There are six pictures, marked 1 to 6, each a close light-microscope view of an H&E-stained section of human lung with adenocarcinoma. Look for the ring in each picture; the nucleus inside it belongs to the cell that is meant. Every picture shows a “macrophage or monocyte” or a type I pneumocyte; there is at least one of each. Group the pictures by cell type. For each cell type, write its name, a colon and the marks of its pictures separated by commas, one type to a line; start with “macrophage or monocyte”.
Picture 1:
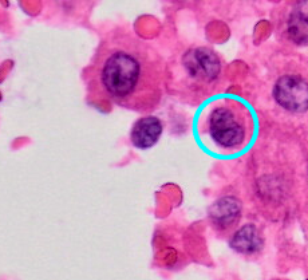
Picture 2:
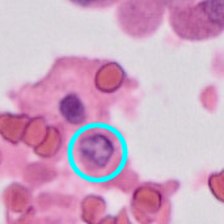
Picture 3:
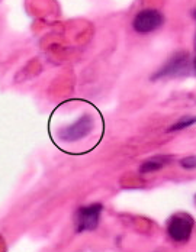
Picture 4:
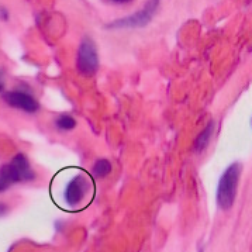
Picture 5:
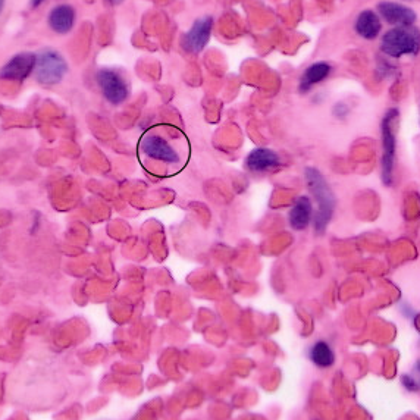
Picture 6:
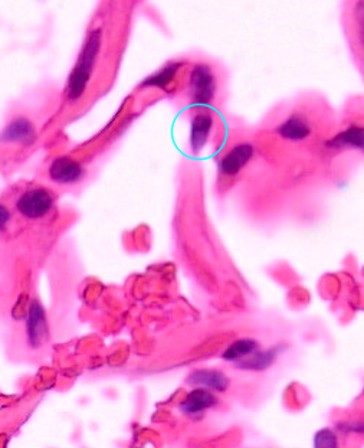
macrophage or monocyte: 1, 2
type I pneumocyte: 3, 4, 5, 6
